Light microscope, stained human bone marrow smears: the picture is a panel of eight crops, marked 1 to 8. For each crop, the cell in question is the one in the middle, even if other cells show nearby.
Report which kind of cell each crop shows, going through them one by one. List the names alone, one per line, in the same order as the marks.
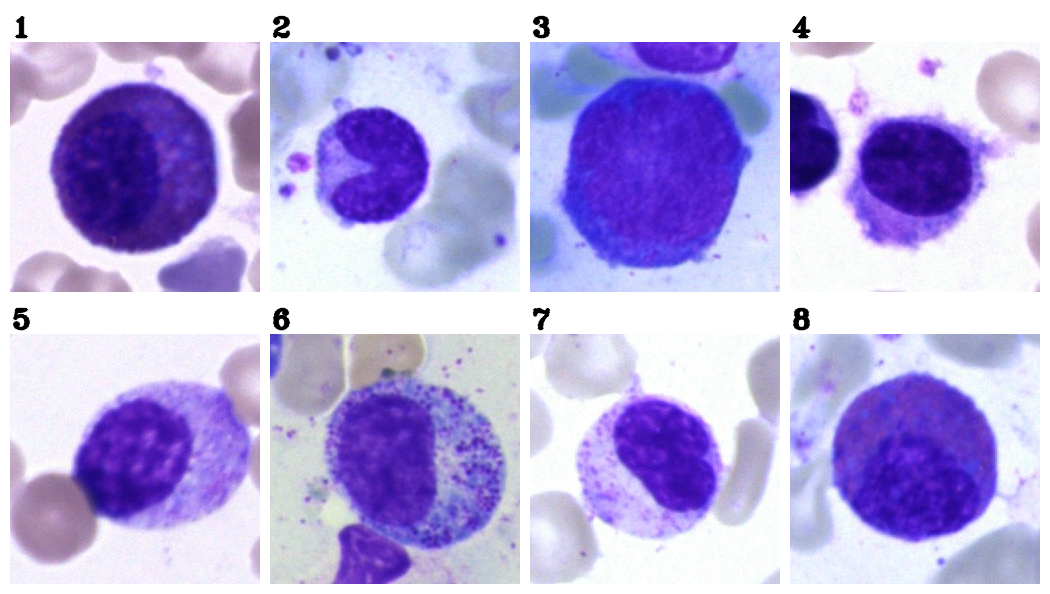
eosinophil
band neutrophil
proerythroblast
hairy cell
myelocyte
promyelocyte
metamyelocyte
eosinophil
